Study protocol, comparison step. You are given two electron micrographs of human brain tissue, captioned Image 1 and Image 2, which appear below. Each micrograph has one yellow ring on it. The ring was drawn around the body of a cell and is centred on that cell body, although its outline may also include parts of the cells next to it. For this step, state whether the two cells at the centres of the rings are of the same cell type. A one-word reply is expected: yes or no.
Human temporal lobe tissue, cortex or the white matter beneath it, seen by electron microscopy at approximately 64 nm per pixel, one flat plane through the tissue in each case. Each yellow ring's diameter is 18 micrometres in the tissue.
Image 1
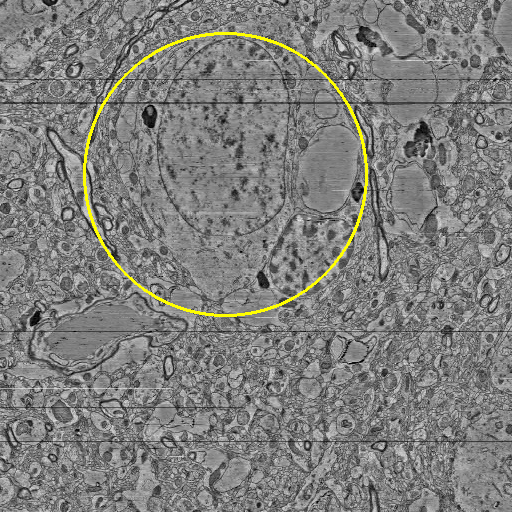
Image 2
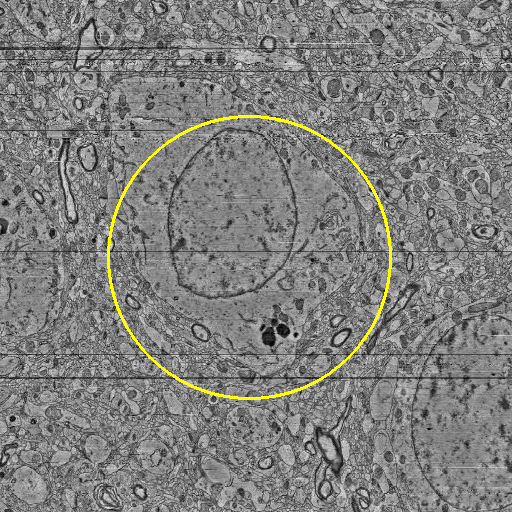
yes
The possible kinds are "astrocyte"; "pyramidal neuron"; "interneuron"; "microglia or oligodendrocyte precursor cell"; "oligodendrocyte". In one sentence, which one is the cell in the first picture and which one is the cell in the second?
Each of the two rings surrounds a pyramidal neuron.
